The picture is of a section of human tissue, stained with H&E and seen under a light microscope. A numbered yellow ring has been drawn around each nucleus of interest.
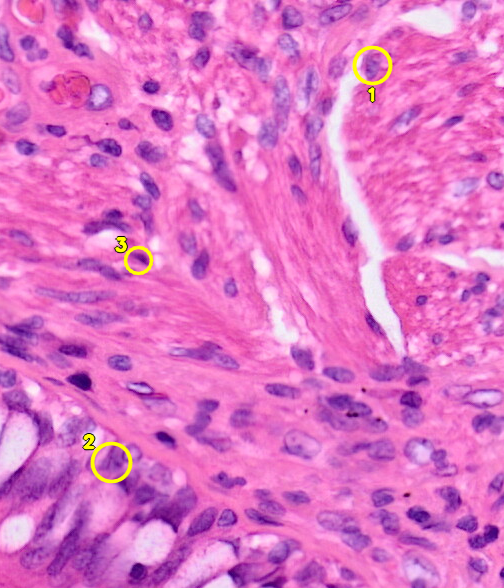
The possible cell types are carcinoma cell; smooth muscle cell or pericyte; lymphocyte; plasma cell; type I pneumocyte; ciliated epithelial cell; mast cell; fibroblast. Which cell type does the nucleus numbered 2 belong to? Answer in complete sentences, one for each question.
The cell numbered 2 represents a ciliated epithelial cell.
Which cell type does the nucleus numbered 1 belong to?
The cell to which the number 1 is assigned is a smooth muscle cell or pericyte.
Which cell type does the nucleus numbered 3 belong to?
Cell 3 in the field is a smooth muscle cell or pericyte.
